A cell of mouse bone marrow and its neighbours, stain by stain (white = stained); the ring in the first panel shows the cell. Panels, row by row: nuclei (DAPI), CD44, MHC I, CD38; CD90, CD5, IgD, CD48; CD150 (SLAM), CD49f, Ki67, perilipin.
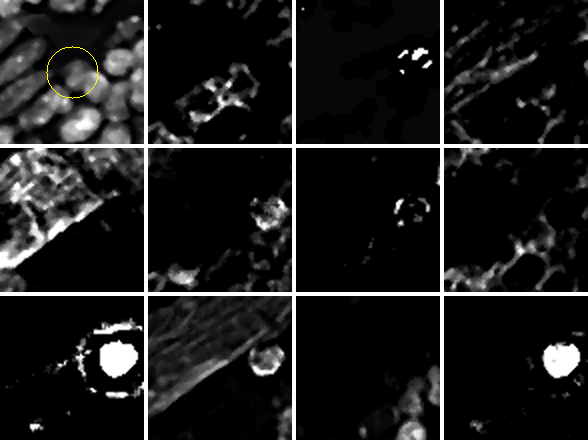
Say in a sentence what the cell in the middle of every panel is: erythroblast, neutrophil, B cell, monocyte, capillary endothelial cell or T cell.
This is a capillary endothelial cell.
